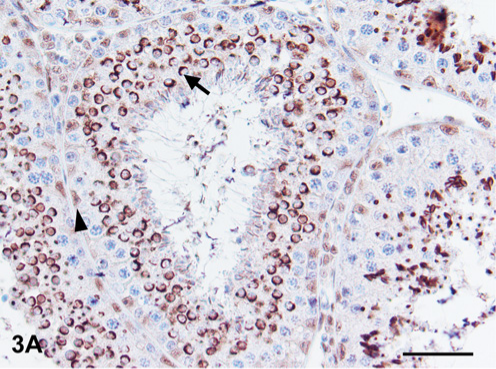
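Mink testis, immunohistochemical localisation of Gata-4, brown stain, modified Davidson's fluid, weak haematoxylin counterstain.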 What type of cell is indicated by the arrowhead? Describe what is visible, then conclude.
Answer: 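Sertoli cells. The arrowhead points to a cell at the base of the tubule, next to its boundary. Its nucleus is pale with a faint brown tint, unlike the dark brown caps further in.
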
